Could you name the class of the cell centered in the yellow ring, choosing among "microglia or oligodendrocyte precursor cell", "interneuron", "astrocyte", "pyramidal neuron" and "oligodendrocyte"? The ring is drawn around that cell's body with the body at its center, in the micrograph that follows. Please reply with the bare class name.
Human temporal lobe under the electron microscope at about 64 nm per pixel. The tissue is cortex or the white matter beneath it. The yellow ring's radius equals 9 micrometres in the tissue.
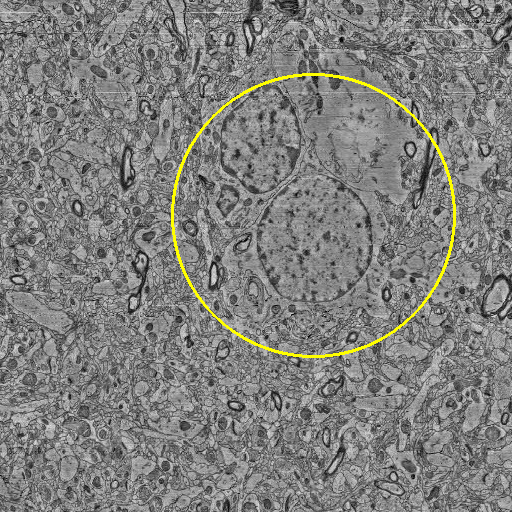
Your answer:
astrocyte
